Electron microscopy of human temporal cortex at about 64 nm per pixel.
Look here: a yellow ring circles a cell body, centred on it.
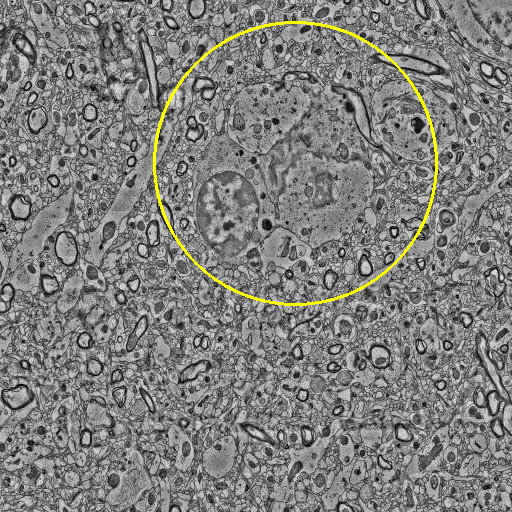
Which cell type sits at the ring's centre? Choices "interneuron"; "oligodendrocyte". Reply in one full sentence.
The cell at the centre of the yellow ring in the picture is an oligodendrocyte.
